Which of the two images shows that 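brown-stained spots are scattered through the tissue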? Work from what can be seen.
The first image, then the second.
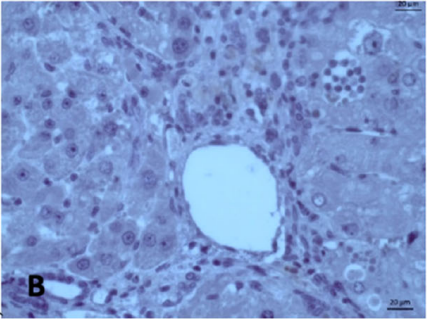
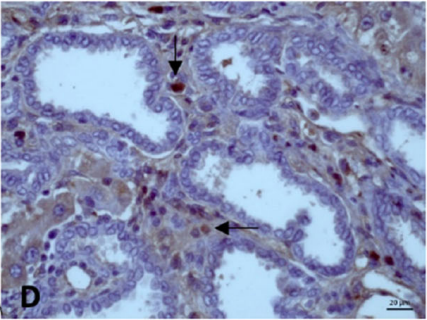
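First image: the tissue is stained only in blue and pale purple, with no brown deposits. Second image: several dark brown cells and brown patches lie in the tissue between the ductal structures, some marked by black arrows.
Answer: the second image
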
